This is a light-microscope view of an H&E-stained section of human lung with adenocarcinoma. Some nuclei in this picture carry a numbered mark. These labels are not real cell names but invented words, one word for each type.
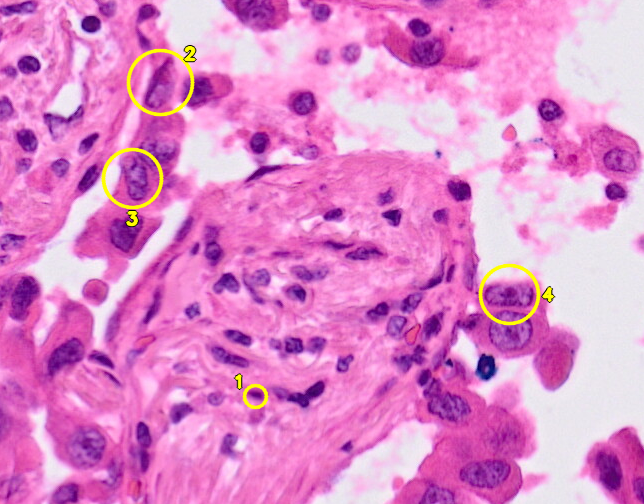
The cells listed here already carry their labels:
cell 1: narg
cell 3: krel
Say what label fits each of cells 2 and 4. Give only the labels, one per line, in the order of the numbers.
krel
krel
